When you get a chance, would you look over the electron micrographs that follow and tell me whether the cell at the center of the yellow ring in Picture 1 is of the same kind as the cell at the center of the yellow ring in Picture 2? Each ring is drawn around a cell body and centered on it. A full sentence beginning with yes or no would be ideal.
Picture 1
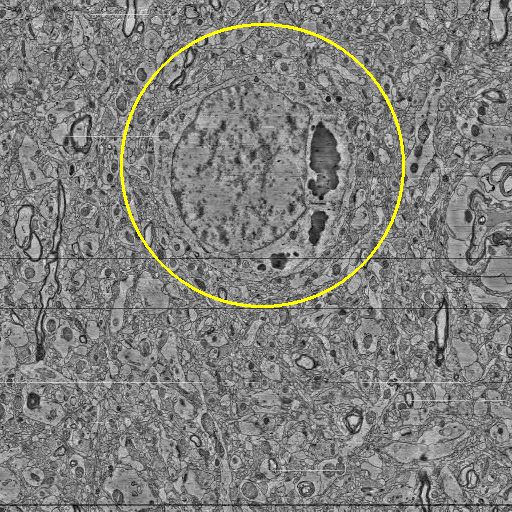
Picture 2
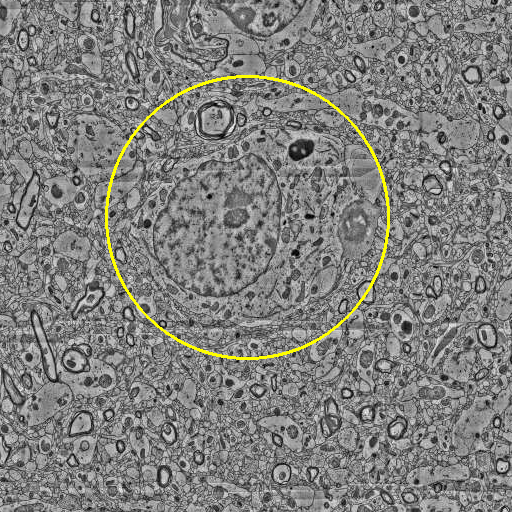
Yes, the two cells are of the same kind.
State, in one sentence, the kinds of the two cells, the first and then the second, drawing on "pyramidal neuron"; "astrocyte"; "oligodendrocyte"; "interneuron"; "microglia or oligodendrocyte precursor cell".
Each of the ringed cells, first and second, is an interneuron.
